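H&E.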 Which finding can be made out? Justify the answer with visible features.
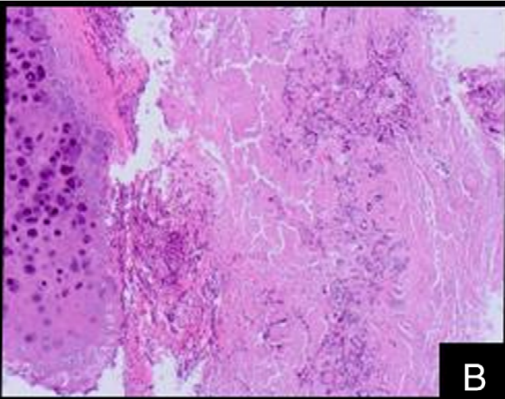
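Broad sheets of pale pink amorphous material fill much of the field. The deposit has no discrete rounded outlines.
Answer: diffuse pattern of deposition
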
